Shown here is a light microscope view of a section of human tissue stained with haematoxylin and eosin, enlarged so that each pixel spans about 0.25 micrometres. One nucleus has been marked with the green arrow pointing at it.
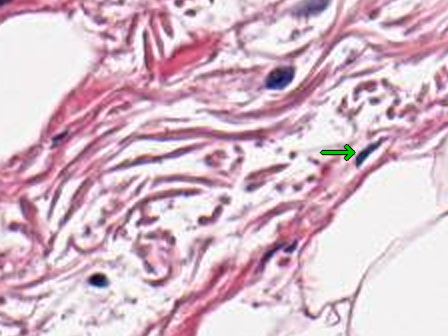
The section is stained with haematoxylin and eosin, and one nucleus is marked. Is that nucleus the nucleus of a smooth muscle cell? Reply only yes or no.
no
